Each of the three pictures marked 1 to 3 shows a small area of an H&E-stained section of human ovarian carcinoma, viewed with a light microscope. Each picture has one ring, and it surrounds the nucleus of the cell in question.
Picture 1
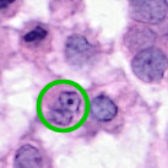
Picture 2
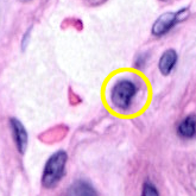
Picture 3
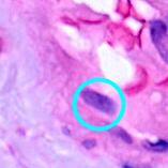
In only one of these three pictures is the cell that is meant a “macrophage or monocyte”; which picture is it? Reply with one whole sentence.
The cell in picture 1 is the “macrophage or monocyte”.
